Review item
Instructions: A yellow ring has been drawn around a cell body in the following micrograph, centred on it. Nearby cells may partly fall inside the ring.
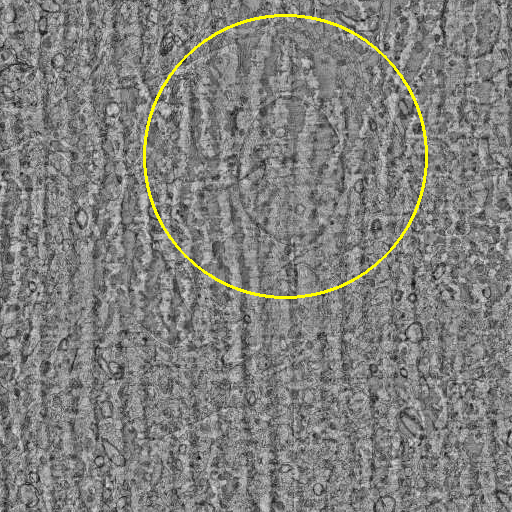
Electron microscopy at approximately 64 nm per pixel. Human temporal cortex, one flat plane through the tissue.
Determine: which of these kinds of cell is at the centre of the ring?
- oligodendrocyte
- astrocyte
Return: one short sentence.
The cell body in the middle of the ring is that of an astrocyte.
